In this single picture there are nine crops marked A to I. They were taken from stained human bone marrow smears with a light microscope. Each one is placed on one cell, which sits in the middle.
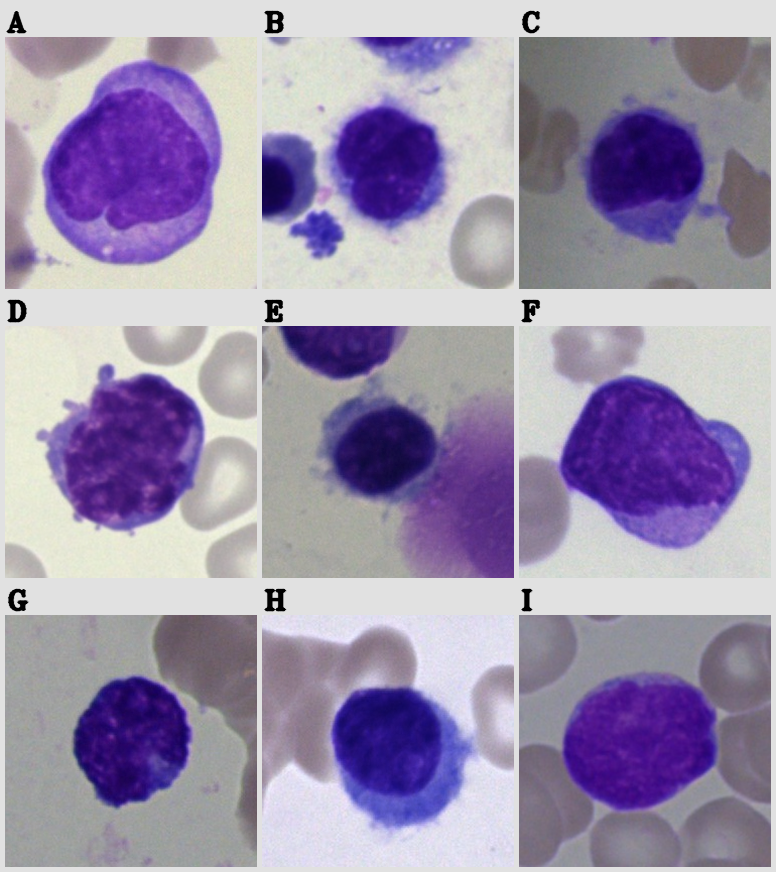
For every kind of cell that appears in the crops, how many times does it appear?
blast: 5
hairy cell: 4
